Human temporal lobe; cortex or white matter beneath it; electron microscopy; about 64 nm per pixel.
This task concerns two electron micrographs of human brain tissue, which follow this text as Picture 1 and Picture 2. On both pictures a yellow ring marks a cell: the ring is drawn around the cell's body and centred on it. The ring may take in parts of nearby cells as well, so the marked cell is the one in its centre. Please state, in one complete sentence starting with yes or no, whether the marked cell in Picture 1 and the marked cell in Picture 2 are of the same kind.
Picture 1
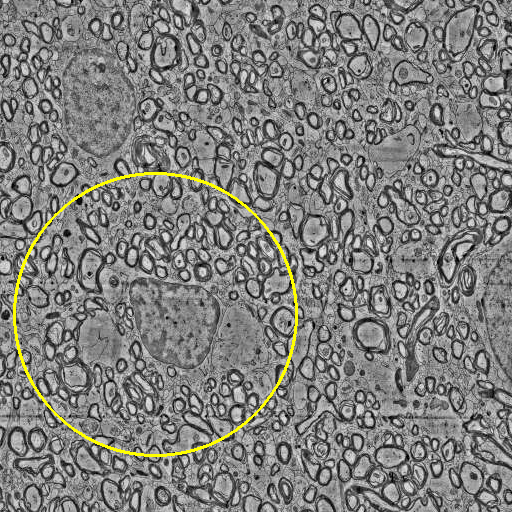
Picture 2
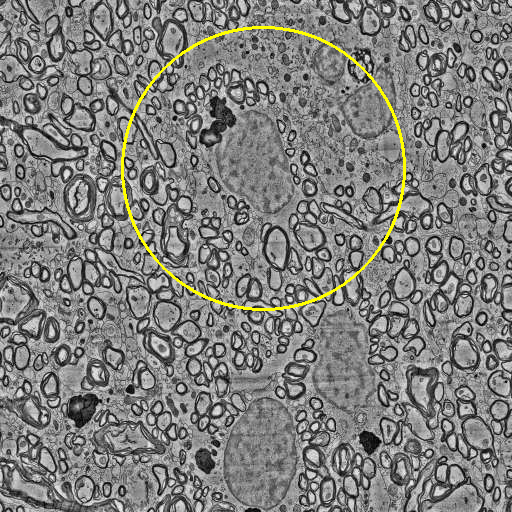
No, the marked cells in the two pictures are of two kinds.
